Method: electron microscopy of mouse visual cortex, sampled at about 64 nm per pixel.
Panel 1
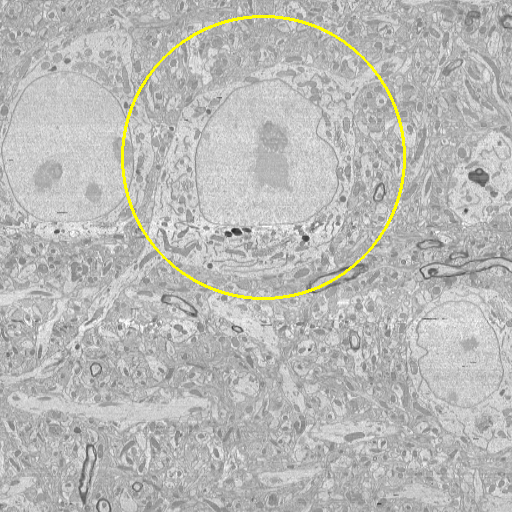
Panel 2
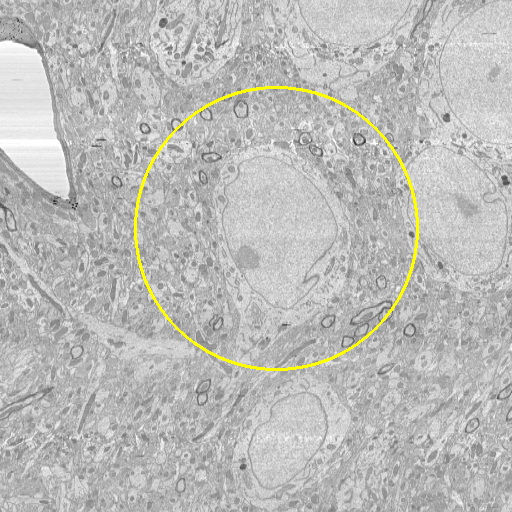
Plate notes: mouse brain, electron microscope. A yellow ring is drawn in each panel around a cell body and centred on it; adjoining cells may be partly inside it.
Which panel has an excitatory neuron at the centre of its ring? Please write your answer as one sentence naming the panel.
The ring in Panel 2 is centred on such a cell.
